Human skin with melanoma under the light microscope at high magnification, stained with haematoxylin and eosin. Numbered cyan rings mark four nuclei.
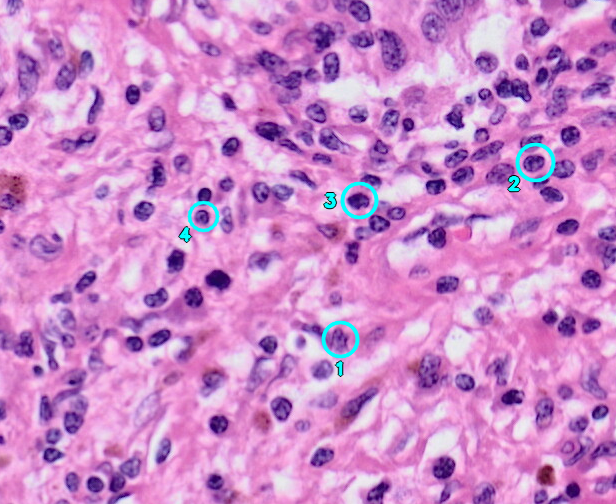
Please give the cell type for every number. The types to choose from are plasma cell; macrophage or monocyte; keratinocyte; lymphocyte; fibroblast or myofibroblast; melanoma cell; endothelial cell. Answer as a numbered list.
1. macrophage or monocyte
2. lymphocyte
3. lymphocyte
4. lymphocyte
